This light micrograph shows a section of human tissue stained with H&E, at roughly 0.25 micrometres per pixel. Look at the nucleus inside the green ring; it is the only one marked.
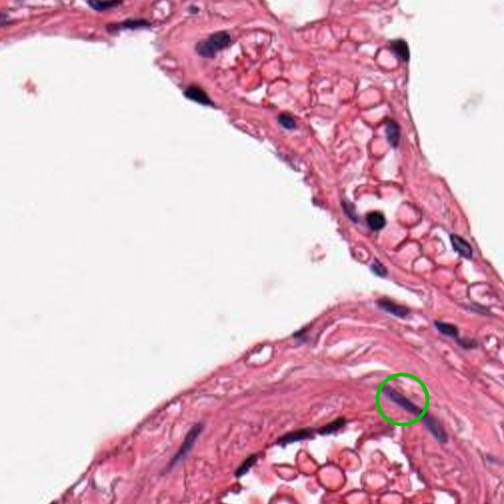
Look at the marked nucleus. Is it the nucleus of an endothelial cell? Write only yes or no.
no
